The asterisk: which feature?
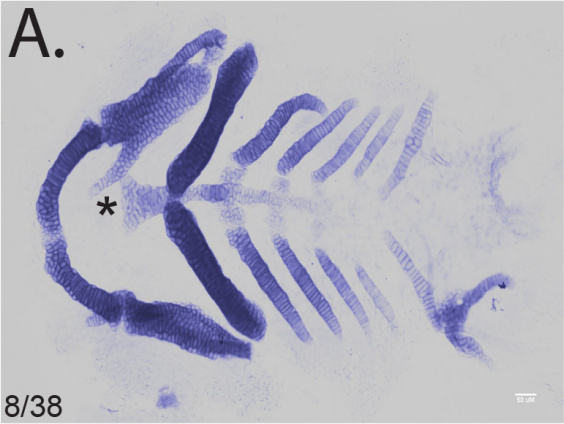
Basihyal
